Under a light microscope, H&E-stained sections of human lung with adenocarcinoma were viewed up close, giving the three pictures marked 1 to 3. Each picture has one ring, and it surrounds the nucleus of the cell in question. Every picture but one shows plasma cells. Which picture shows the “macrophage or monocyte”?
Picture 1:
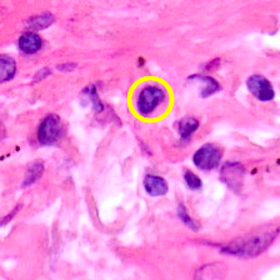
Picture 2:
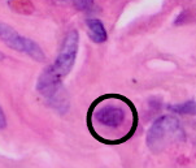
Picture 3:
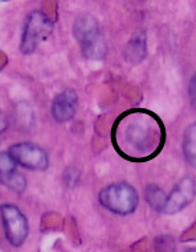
3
